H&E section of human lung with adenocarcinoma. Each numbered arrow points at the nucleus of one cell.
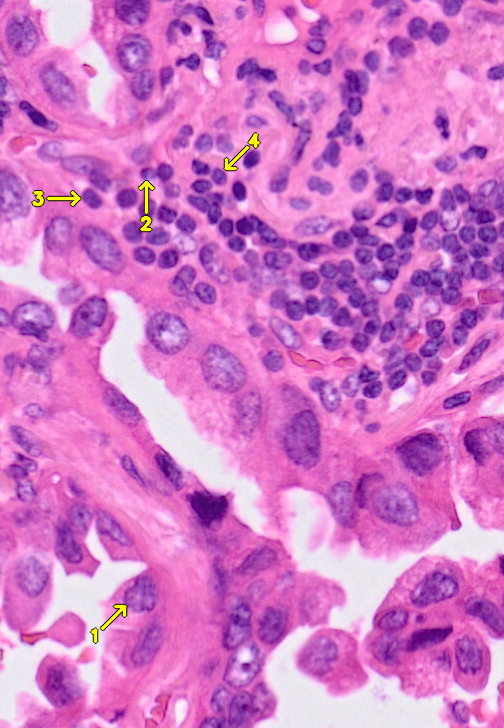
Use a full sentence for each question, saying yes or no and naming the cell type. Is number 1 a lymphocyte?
No, the correct answer for cell 1 is a carcinoma cell, not a lymphocyte.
